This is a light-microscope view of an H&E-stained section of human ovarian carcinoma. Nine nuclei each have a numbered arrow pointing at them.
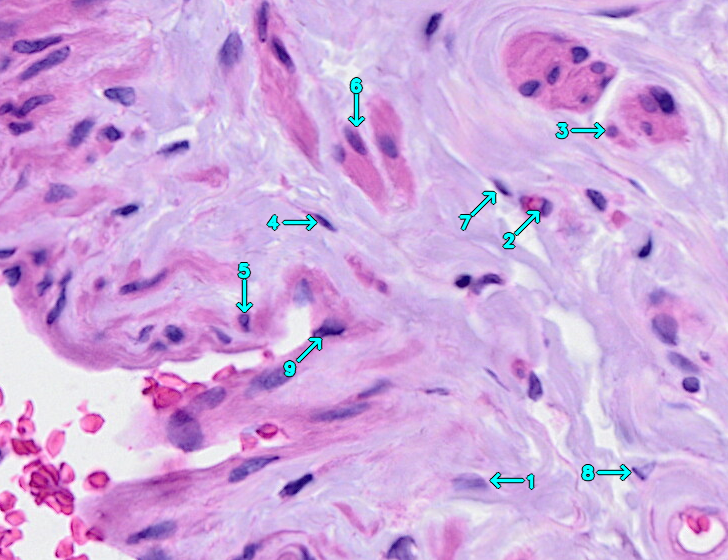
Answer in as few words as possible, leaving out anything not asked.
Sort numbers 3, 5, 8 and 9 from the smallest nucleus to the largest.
3, 5, 8, 9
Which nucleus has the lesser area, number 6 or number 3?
3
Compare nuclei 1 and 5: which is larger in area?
1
